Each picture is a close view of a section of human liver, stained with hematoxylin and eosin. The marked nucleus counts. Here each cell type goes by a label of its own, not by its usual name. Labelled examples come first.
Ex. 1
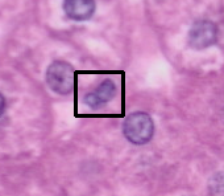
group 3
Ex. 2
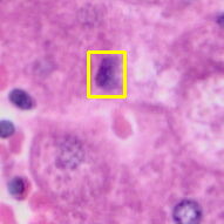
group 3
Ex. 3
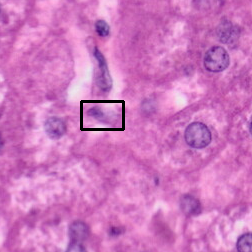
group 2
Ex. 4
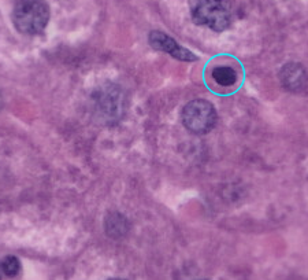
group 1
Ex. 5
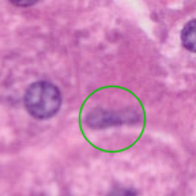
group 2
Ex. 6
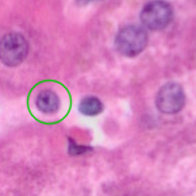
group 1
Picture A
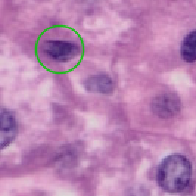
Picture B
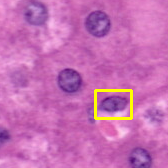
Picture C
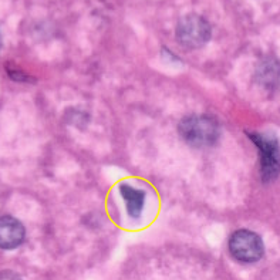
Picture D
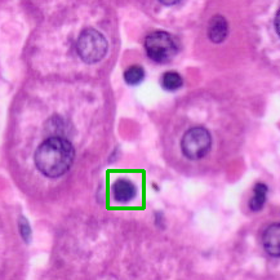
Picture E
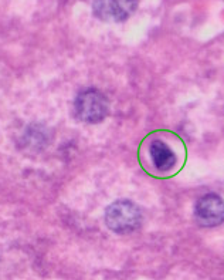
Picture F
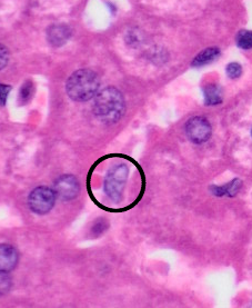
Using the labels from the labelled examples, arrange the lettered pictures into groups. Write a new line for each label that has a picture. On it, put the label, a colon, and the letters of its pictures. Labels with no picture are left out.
group 3: A
group 2: B, F
group 1: C, D, E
